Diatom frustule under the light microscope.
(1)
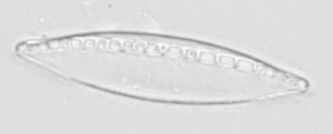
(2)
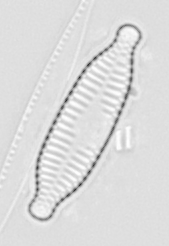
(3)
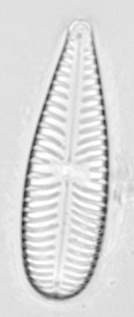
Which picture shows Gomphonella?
Picture 3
